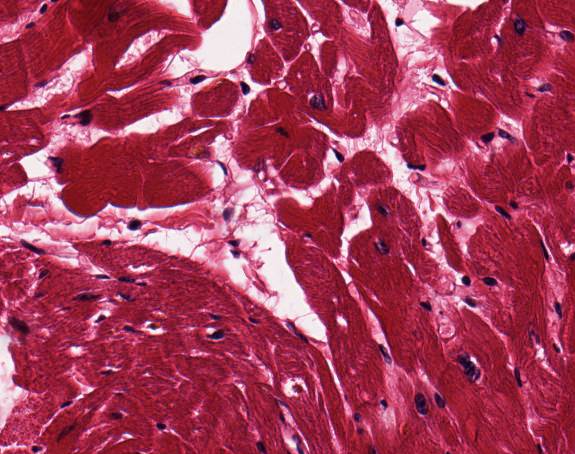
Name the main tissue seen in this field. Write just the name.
myocardium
